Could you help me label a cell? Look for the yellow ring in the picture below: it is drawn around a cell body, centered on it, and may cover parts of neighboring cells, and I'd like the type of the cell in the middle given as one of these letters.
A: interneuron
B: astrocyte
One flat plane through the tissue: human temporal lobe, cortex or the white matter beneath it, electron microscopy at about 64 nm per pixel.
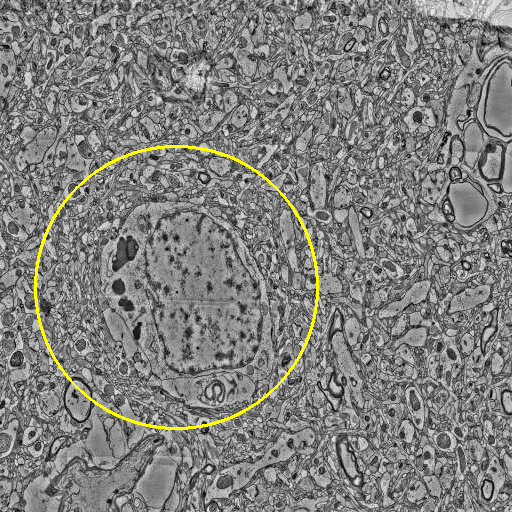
A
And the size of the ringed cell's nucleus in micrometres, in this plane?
Roughly 11 by 8 micrometres is the size of the nucleus in this plane.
